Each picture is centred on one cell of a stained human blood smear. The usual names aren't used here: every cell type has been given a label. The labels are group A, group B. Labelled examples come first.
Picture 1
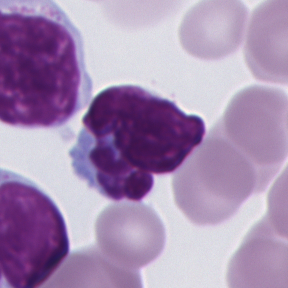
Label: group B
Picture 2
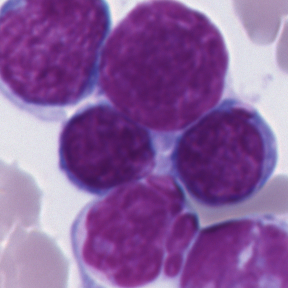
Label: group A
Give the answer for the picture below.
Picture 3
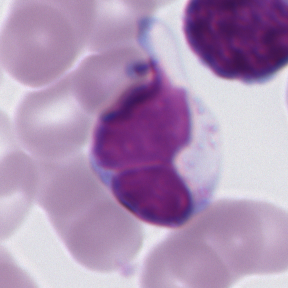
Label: group B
